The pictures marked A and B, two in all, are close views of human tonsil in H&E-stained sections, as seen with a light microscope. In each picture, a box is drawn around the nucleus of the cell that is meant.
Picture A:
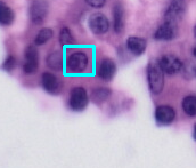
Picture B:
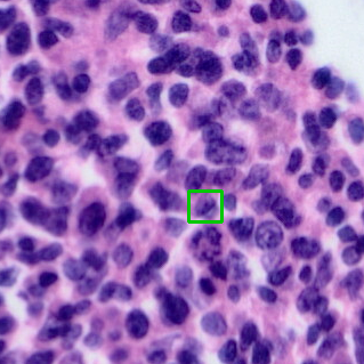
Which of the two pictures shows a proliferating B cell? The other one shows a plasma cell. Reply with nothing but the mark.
B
